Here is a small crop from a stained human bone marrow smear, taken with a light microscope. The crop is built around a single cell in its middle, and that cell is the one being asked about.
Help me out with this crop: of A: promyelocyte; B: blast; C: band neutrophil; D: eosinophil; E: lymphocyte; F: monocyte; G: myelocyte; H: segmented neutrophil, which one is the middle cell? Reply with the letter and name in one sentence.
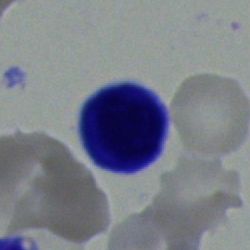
Since the cell in the centre is a lymphocyte, the correct option is E.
